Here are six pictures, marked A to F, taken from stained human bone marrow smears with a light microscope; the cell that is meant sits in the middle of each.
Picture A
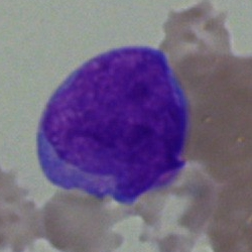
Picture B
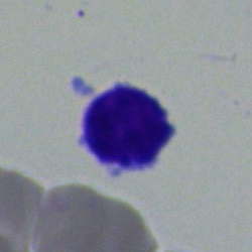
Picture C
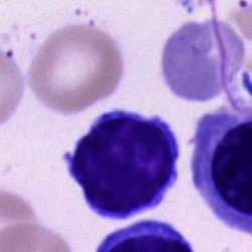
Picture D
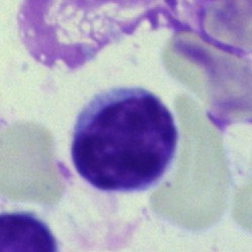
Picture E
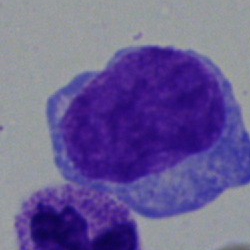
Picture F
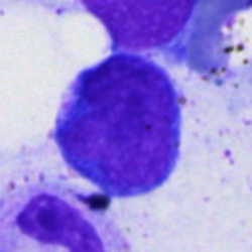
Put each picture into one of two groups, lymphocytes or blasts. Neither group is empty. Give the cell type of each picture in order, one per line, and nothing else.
blast
lymphocyte
lymphocyte
lymphocyte
blast
lymphocyte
